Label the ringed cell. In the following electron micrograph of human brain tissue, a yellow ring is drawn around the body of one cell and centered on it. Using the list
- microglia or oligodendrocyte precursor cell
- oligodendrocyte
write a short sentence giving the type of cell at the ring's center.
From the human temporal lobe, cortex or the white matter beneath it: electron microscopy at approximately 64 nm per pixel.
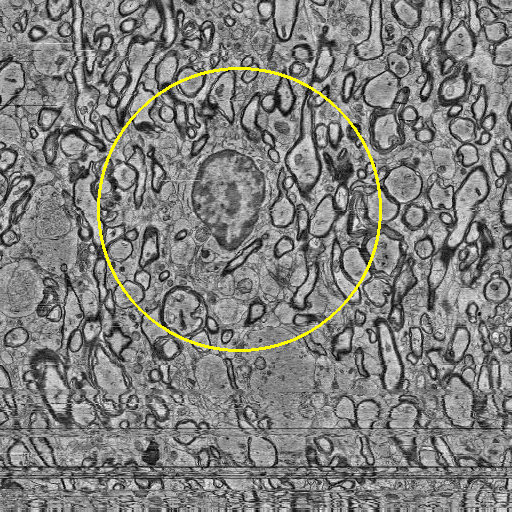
The cell body at the ring's center is that of a microglial cell or oligodendrocyte precursor cell.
